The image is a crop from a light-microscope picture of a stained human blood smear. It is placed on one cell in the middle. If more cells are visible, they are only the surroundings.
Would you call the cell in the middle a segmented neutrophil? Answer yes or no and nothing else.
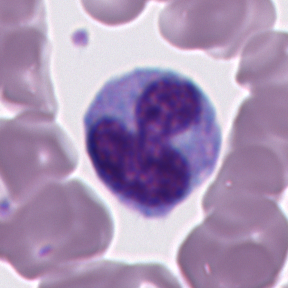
no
